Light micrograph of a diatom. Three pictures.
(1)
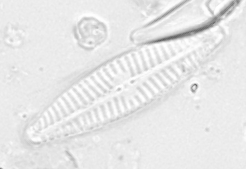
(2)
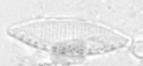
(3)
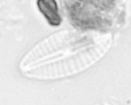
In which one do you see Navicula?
In picture 1.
